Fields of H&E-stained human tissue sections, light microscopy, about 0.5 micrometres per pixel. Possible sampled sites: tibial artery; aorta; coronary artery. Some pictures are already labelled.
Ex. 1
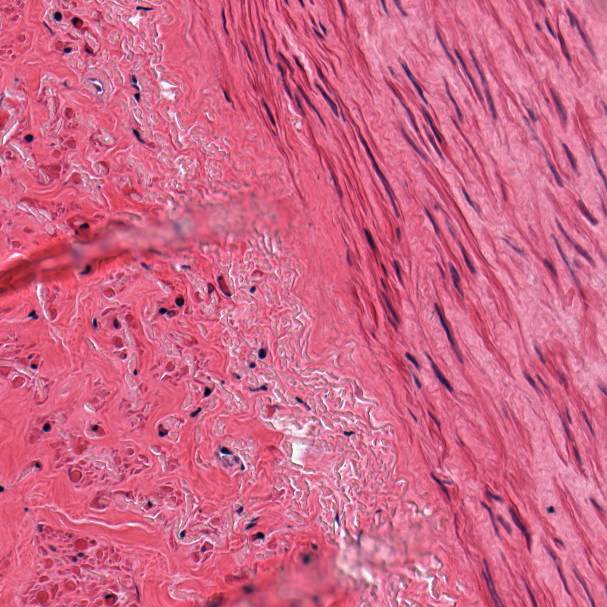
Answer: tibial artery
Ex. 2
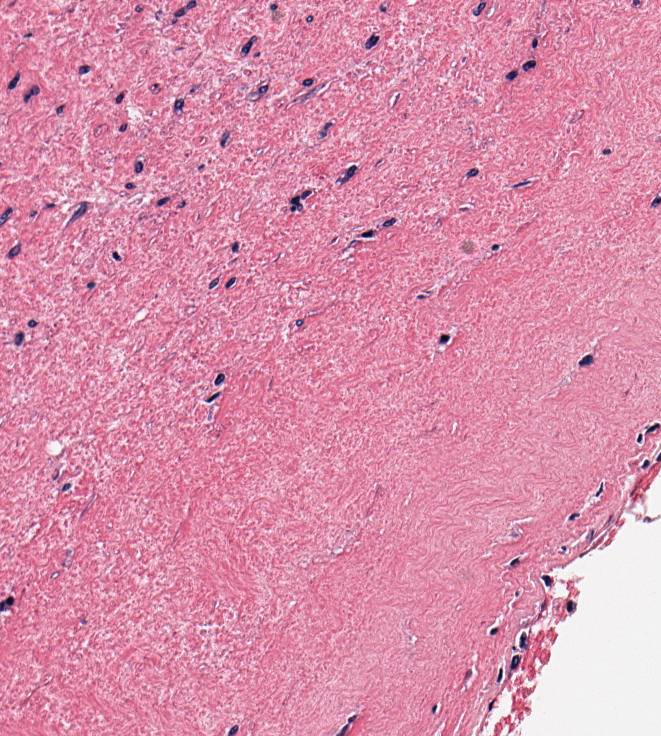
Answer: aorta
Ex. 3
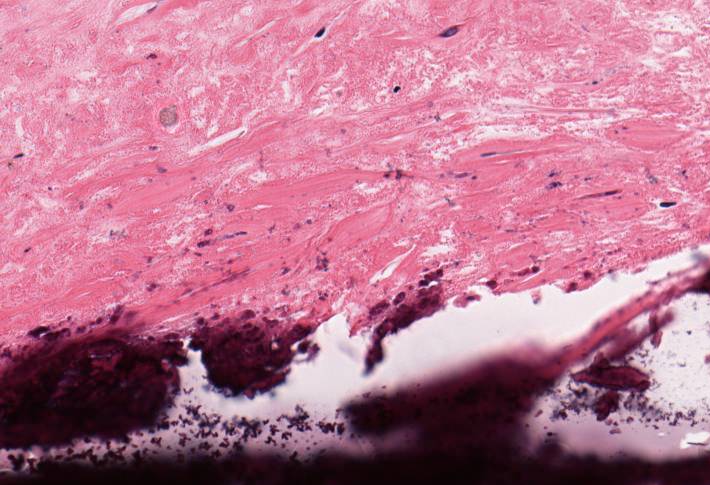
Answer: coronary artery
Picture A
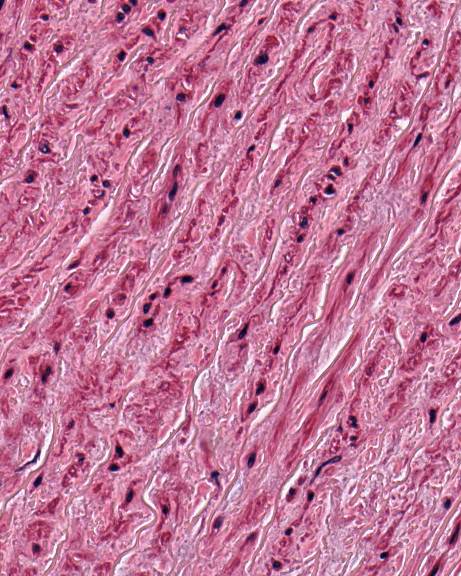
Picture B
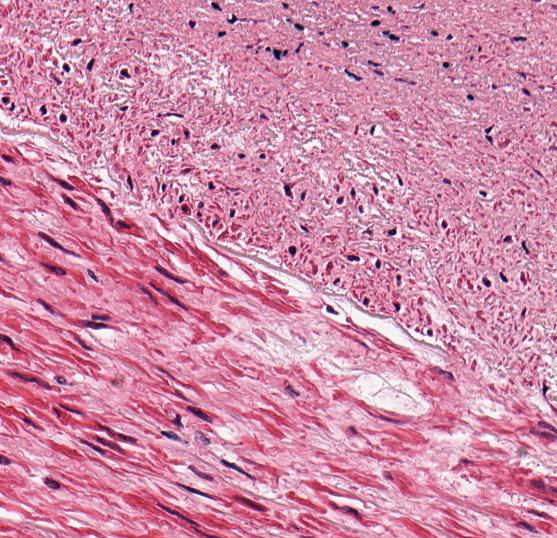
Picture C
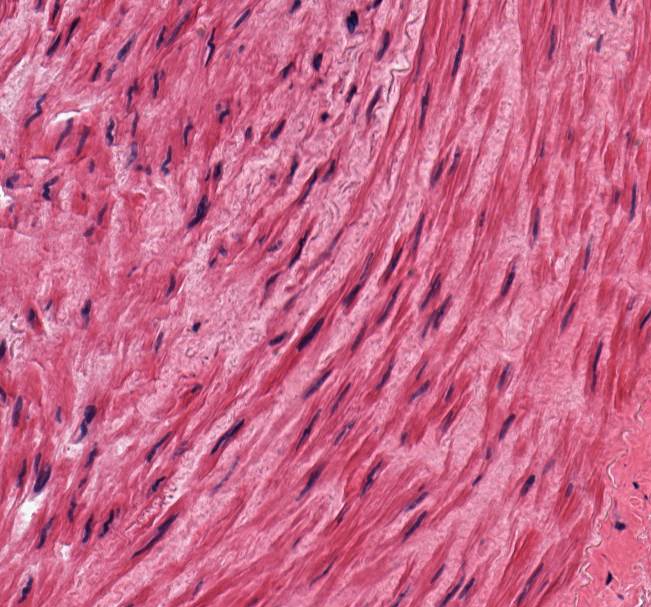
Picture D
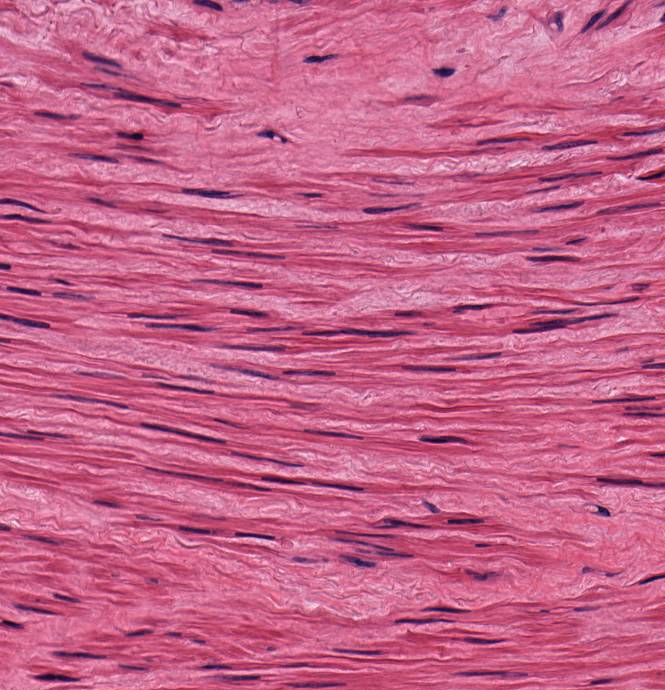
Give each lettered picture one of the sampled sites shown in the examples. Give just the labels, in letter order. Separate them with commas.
aorta, coronary artery, tibial artery, tibial artery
